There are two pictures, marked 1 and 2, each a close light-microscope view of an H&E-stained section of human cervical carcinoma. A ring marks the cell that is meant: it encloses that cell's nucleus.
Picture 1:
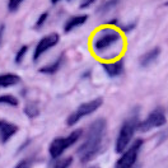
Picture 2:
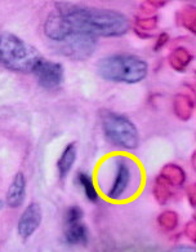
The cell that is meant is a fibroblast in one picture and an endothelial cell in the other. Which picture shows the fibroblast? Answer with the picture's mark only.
1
